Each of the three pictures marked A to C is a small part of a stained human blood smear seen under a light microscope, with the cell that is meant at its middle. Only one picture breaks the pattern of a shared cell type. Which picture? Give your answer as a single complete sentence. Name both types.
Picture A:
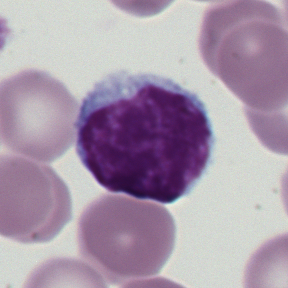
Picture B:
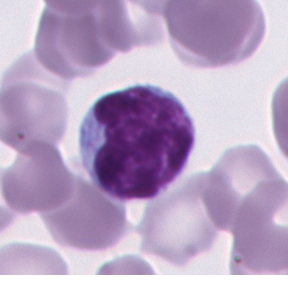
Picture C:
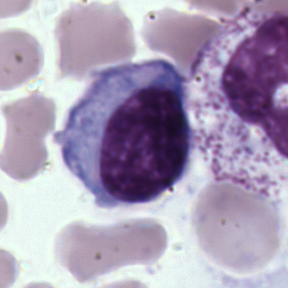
Picture C is the odd one out: it shows a plasma cell, while the others show typical lymphocytes.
